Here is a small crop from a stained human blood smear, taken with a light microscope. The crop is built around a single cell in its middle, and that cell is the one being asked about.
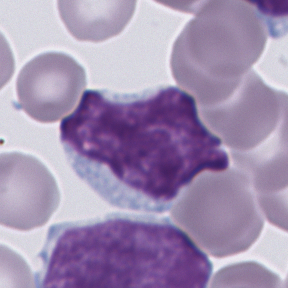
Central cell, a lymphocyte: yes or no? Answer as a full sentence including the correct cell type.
Yes, the cell found at the centre of the crop is a lymphocyte.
